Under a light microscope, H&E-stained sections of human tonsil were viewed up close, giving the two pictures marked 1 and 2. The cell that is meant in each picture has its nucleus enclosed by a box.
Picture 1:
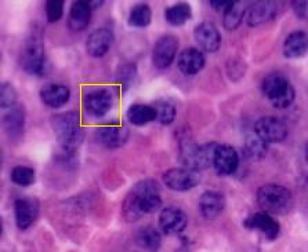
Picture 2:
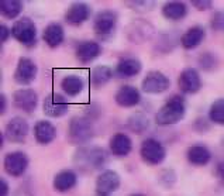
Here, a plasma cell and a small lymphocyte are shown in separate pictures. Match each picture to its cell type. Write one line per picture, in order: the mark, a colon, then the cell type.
1: plasma cell
2: small lymphocyte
